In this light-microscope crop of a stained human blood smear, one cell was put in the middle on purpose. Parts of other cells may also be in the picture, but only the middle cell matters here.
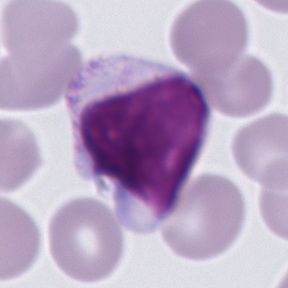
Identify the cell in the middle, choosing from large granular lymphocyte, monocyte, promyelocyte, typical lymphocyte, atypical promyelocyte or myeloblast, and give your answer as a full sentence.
Occupying the centre of the crop is a large granular lymphocyte.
